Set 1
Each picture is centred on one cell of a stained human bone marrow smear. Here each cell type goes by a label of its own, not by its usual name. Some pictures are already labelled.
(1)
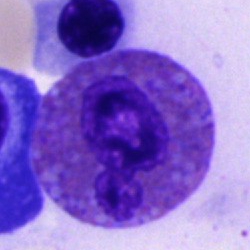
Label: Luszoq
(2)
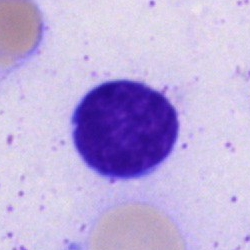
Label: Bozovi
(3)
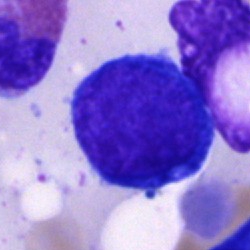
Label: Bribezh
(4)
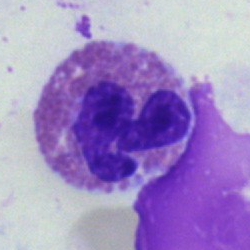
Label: Luszoq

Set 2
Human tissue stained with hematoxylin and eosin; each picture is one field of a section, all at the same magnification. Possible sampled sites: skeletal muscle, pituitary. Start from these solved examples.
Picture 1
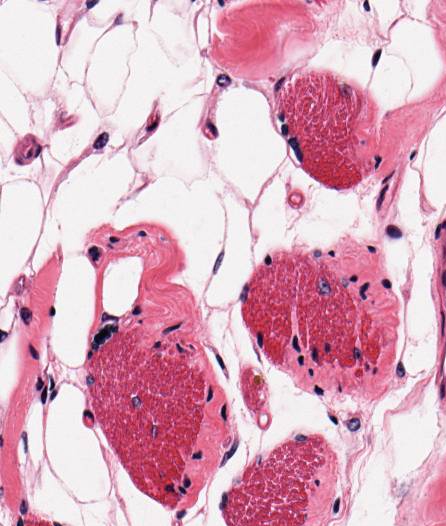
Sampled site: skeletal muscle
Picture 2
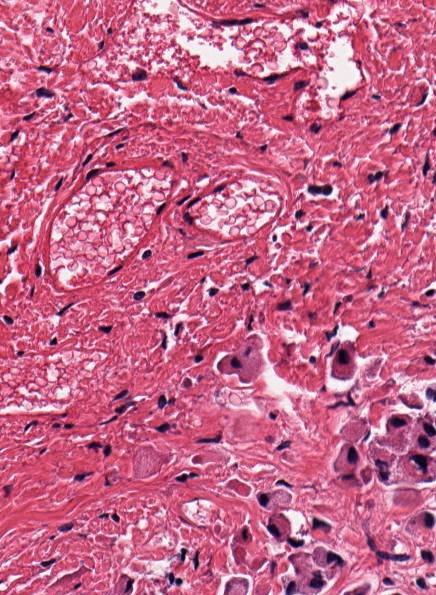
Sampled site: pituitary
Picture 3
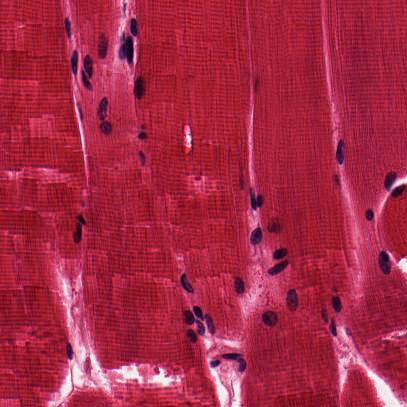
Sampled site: skeletal muscle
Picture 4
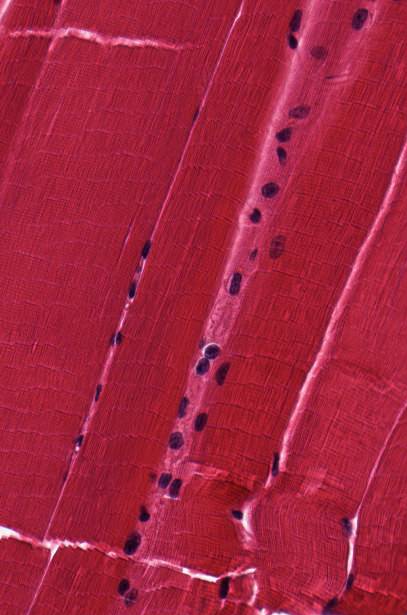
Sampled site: skeletal muscle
